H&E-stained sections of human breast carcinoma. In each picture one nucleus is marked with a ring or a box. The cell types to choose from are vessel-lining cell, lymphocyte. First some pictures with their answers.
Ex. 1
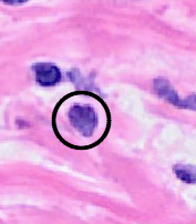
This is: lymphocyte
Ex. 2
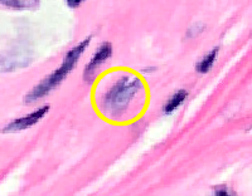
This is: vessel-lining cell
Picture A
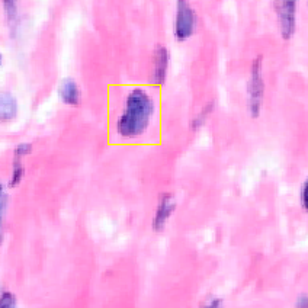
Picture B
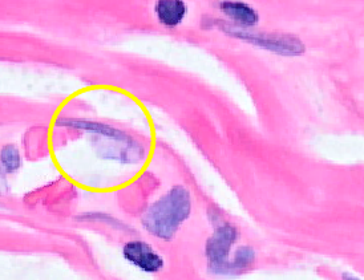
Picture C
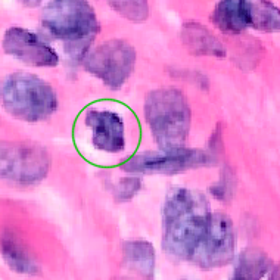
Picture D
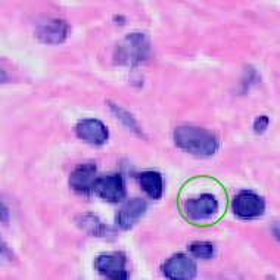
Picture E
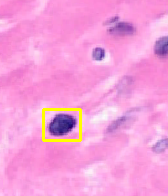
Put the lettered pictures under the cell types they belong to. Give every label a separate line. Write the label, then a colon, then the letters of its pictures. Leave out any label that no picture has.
vessel-lining cell: B
lymphocyte: A, C, D, E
